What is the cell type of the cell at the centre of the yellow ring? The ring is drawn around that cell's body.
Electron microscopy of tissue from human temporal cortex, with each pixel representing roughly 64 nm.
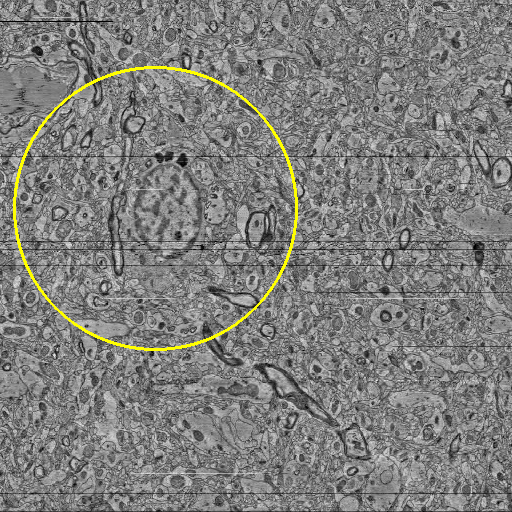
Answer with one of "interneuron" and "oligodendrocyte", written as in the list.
oligodendrocyte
